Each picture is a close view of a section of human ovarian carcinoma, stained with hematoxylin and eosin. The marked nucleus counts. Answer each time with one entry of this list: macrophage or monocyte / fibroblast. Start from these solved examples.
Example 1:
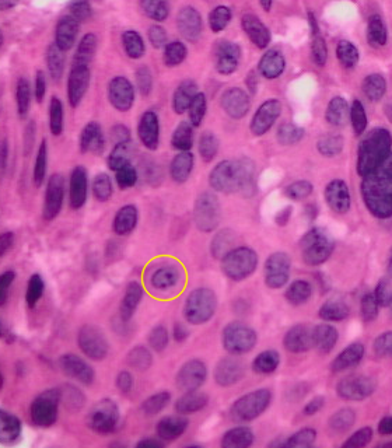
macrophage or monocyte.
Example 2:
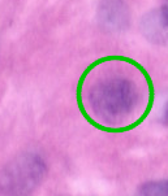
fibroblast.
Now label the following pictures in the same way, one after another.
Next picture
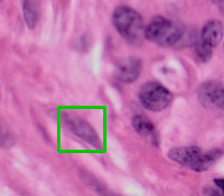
fibroblast.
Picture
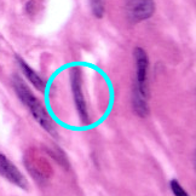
fibroblast.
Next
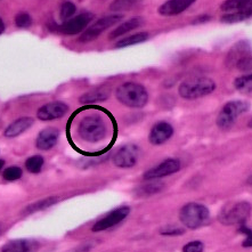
macrophage or monocyte.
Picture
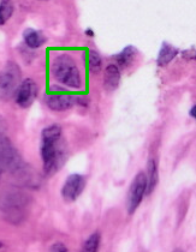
macrophage or monocyte.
